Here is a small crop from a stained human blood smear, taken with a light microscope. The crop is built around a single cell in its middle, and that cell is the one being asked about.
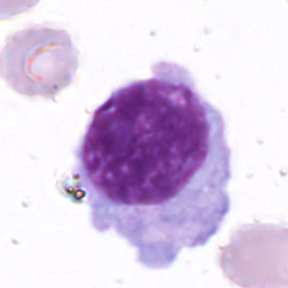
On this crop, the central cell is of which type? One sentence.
The centered cell in this crop is a plasma cell.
